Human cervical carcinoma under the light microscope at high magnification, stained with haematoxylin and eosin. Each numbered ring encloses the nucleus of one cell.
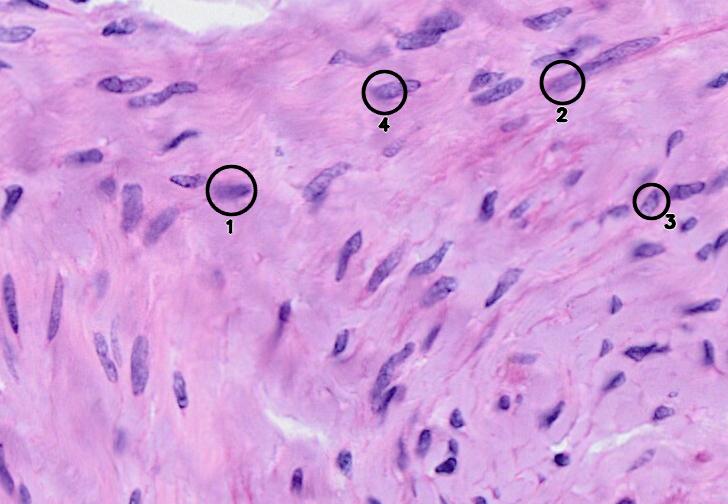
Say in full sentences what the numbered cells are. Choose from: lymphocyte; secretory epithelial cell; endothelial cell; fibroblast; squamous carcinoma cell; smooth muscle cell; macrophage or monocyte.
Cell 1 is a fibroblast, cell 2 is a smooth muscle cell, cell 3 is a fibroblast and cell 4 is a fibroblast.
